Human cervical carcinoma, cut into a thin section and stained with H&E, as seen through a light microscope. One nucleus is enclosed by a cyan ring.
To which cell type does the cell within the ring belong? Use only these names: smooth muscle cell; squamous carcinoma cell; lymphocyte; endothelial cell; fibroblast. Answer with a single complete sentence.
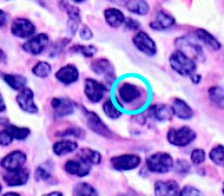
As a matter of cell type, the cell within the ring is a lymphocyte.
